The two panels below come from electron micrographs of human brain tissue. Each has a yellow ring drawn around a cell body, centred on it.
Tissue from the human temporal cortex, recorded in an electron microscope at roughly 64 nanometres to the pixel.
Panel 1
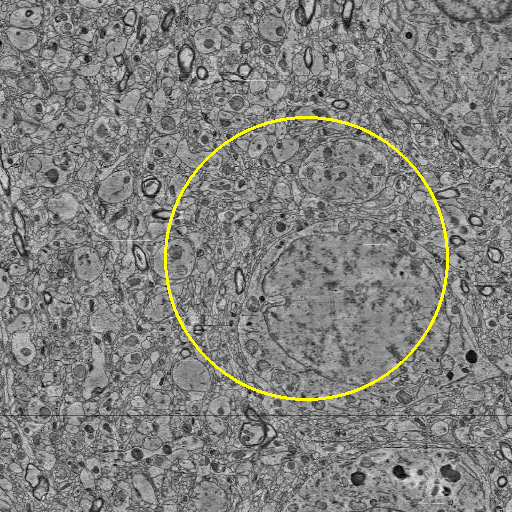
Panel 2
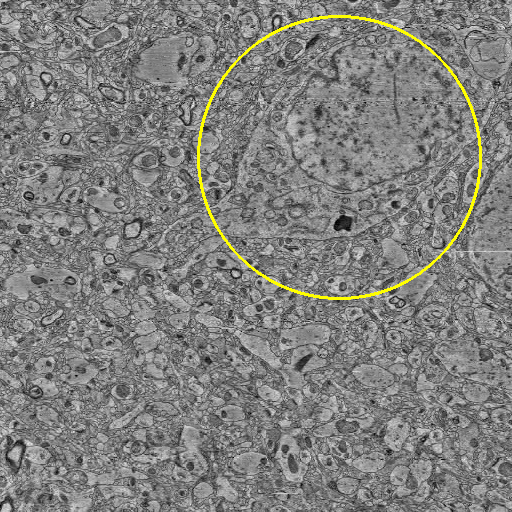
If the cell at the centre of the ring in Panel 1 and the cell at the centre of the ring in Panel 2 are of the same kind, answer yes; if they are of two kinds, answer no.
no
